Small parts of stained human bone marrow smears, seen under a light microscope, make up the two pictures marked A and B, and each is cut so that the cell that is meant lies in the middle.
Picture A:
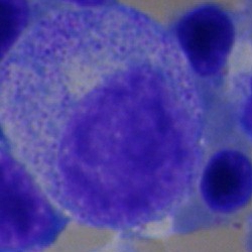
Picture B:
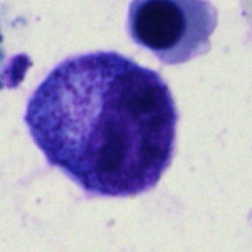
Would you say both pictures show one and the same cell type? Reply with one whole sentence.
Yes, the two pictures both show promyelocytes.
